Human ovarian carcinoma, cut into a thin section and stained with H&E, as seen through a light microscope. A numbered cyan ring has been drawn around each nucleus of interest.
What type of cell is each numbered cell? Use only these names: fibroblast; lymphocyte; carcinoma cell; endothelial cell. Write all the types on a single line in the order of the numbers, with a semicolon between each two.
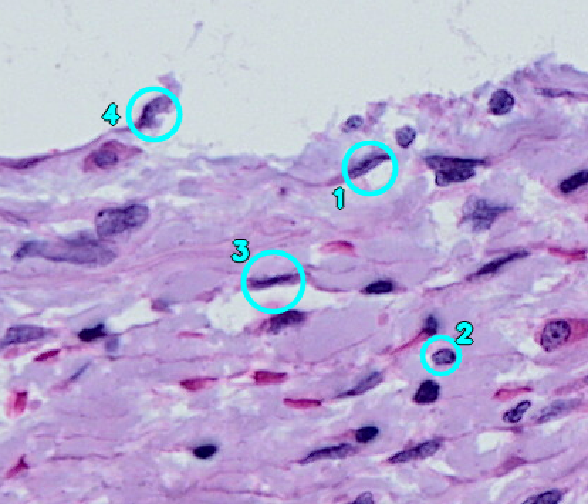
fibroblast; lymphocyte; fibroblast; endothelial cell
